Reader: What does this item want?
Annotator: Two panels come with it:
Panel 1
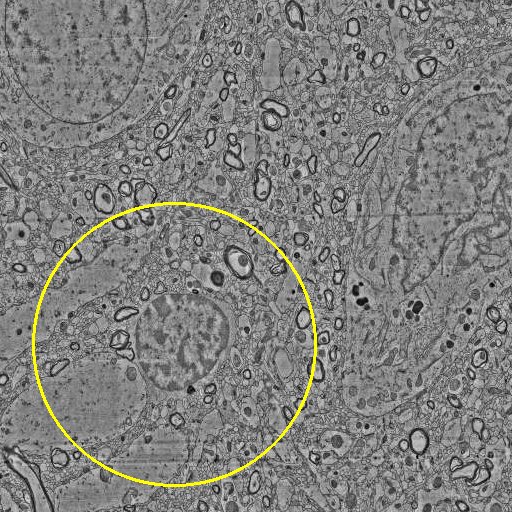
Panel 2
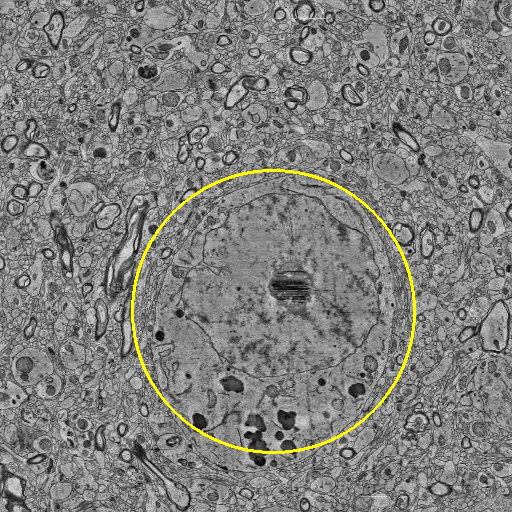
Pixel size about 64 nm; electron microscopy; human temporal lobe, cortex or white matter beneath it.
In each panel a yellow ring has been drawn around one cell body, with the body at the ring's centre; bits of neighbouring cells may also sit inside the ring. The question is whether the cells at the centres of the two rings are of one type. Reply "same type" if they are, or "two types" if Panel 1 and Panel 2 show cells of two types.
two types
